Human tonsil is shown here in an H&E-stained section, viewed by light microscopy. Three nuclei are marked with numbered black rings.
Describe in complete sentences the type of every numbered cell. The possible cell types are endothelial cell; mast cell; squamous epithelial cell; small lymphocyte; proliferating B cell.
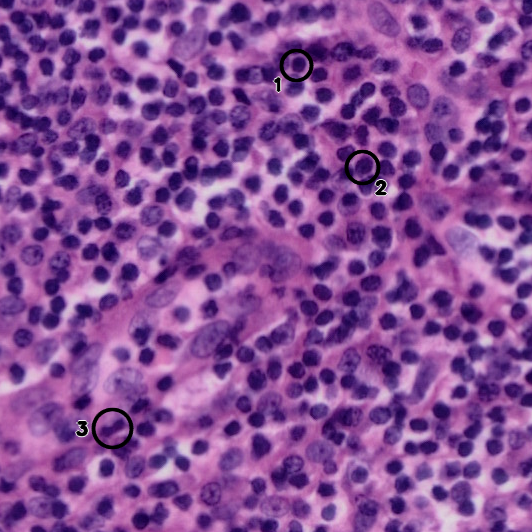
Cells 1 and 2 are small lymphocytes. Cell 3 is an endothelial cell.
